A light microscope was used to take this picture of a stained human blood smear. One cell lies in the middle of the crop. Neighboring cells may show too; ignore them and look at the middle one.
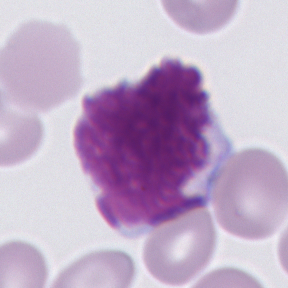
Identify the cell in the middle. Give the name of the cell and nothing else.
smudge cell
